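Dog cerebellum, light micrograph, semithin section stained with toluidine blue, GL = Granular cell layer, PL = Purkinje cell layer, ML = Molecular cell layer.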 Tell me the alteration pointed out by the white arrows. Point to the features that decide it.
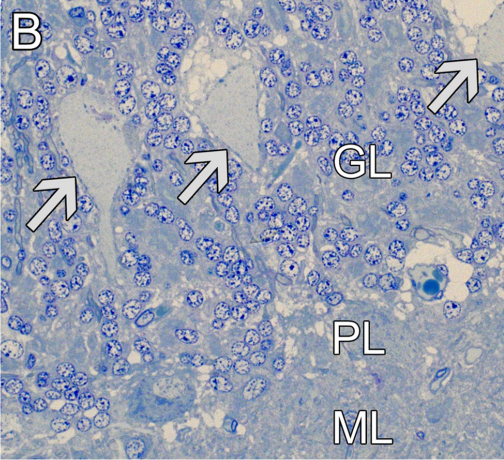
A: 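Swollen structures. The arrows point to large pale, homogeneous areas. These areas are surrounded by many small round nuclei. They are far larger than the neighbouring nuclei.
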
